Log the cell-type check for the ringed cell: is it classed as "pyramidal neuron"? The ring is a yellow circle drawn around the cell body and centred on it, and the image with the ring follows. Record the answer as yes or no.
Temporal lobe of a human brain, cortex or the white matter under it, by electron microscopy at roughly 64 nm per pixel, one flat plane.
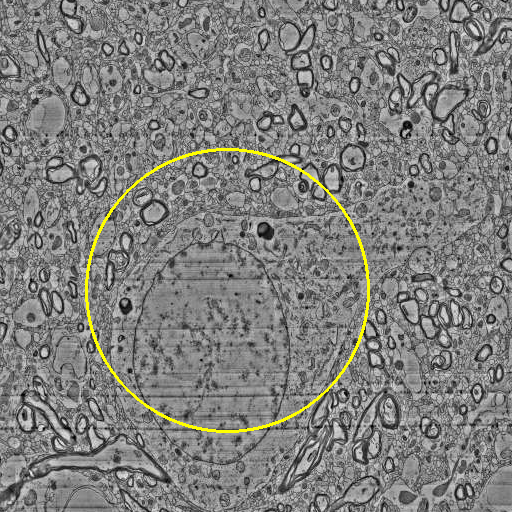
Yes, it is classed that way.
